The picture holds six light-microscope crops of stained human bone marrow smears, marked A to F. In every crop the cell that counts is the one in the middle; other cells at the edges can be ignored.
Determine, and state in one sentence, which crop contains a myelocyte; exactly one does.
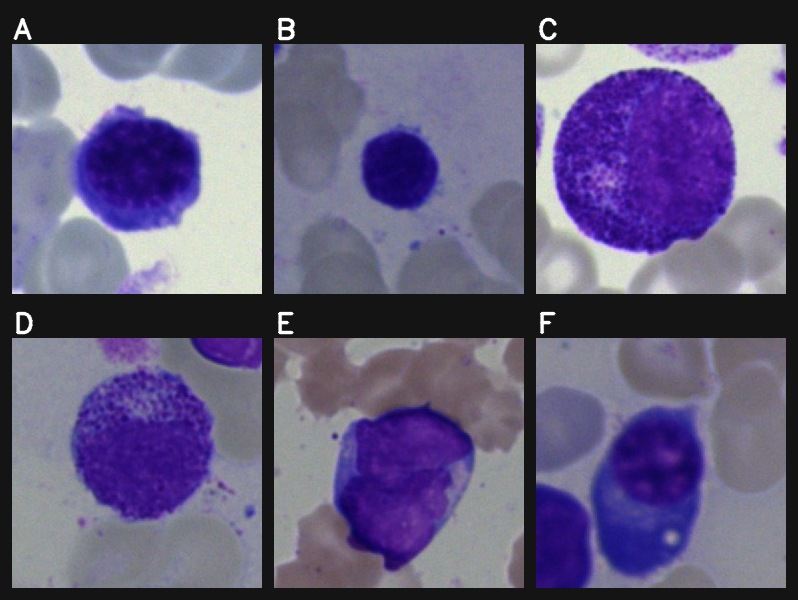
Of all the crops, crop D is the one showing a myelocyte.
